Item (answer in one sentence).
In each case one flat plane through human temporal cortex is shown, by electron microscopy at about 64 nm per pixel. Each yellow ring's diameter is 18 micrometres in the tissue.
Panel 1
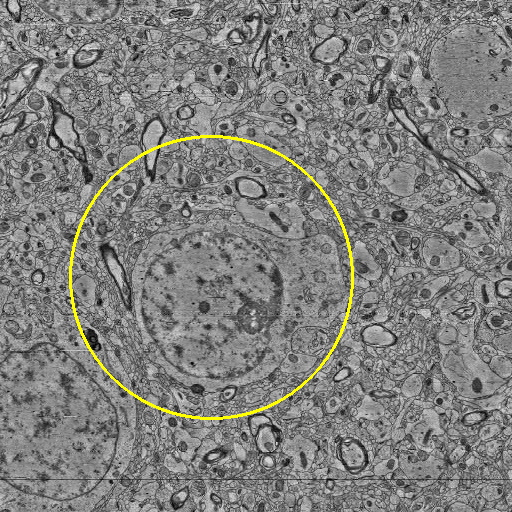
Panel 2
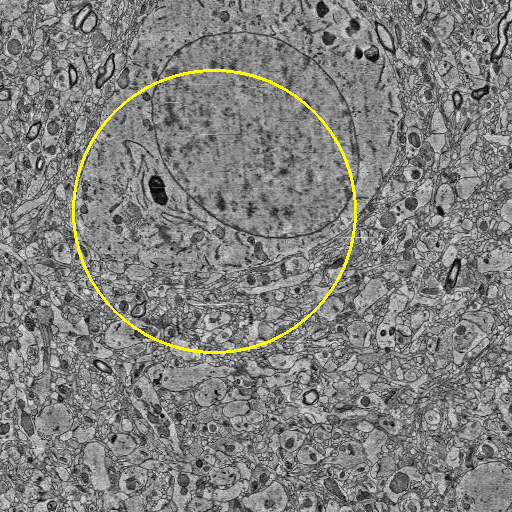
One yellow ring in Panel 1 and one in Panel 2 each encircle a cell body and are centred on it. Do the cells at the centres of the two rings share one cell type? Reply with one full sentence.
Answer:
No, Panel 1 and Panel 2 show cells of two types at the centres of their rings.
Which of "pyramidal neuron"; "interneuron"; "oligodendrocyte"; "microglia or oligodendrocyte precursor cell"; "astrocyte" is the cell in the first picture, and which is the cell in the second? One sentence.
The two differ: the first cell is an interneuron and the second is a pyramidal neuron.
